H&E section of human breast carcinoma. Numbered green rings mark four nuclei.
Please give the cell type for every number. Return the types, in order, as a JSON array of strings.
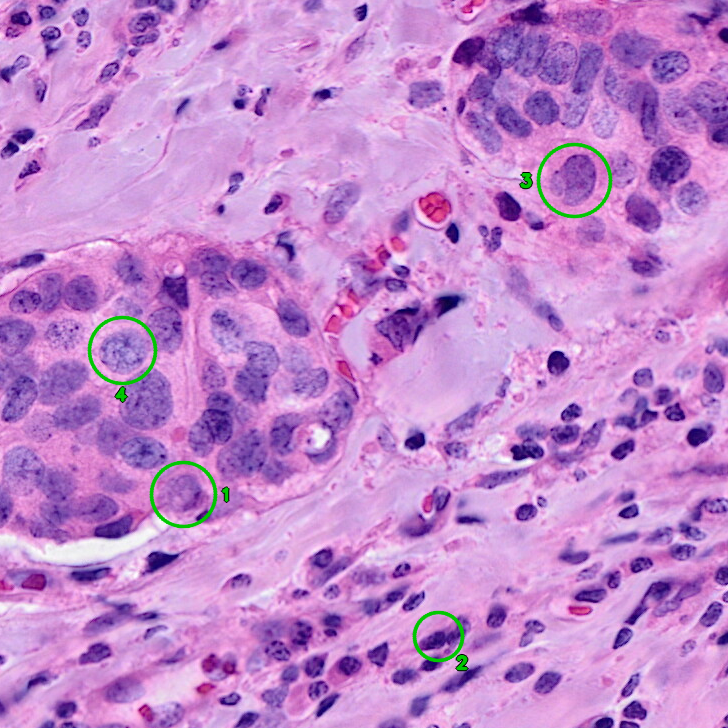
["carcinoma cell", "lymphocyte", "carcinoma cell", "carcinoma cell"]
